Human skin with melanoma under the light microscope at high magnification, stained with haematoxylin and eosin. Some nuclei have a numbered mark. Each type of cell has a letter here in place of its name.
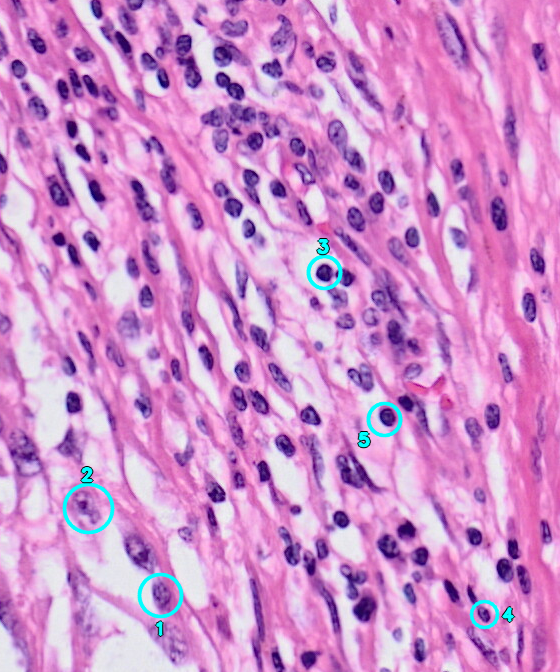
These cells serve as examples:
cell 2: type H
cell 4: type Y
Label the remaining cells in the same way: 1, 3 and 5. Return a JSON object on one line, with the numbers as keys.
{"1": "type H", "3": "type Y", "5": "type Y"}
